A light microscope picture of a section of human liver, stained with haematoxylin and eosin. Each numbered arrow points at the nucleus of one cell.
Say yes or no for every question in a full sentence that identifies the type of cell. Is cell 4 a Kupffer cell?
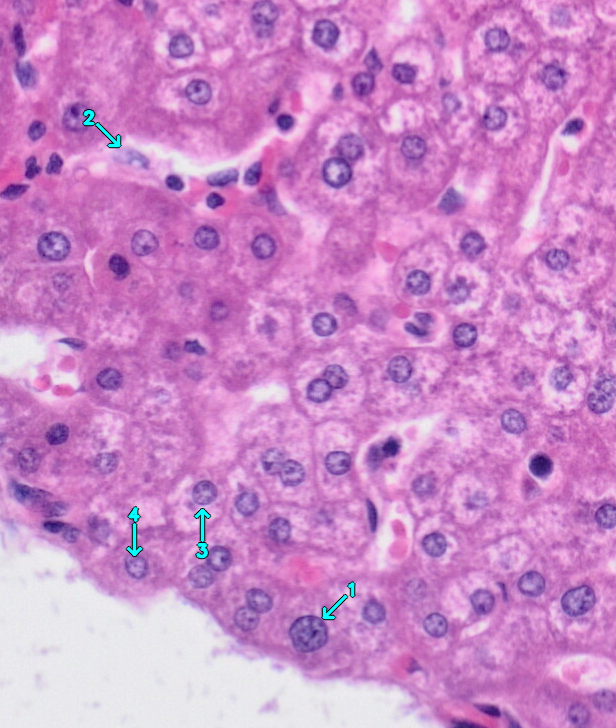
No, cell 4 is not a Kupffer cell; a hepatocyte is the correct identification.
